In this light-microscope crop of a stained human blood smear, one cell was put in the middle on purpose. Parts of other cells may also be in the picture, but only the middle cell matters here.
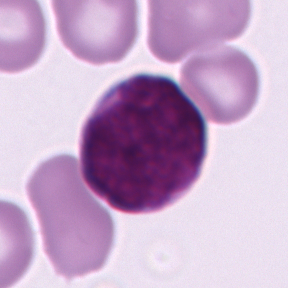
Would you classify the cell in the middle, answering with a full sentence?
The cell sitting right in the middle is a myeloblast.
